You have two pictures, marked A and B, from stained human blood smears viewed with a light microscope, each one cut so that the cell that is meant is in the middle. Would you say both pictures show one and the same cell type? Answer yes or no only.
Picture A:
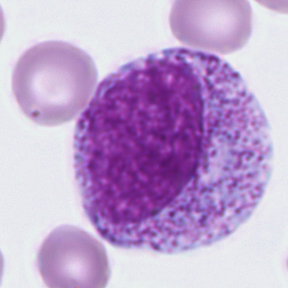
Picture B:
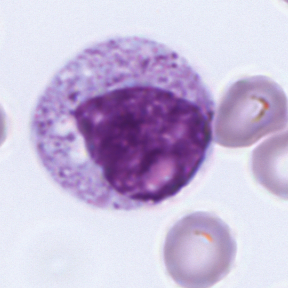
no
